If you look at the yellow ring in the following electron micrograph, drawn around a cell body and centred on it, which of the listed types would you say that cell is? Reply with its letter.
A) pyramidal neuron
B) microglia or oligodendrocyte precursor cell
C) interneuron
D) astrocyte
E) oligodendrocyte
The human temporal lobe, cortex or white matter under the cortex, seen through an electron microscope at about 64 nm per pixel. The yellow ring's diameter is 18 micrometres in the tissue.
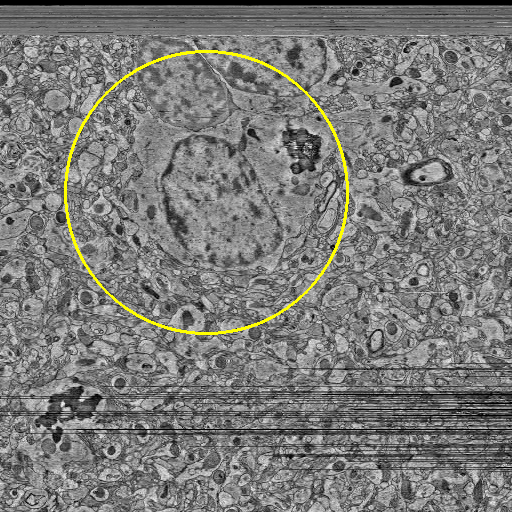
D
